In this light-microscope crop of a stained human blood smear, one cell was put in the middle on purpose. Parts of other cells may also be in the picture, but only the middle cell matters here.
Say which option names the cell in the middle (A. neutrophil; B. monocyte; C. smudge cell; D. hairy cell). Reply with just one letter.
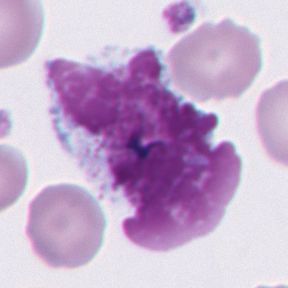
C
